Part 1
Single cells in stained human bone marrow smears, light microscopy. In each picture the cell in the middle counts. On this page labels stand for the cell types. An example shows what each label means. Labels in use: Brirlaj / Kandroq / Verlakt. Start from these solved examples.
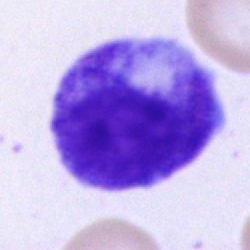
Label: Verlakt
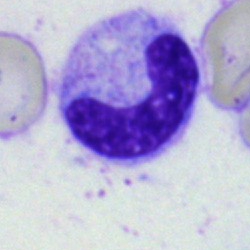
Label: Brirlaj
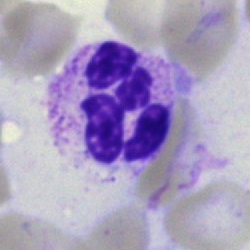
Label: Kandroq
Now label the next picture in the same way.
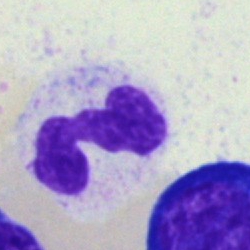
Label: Kandroq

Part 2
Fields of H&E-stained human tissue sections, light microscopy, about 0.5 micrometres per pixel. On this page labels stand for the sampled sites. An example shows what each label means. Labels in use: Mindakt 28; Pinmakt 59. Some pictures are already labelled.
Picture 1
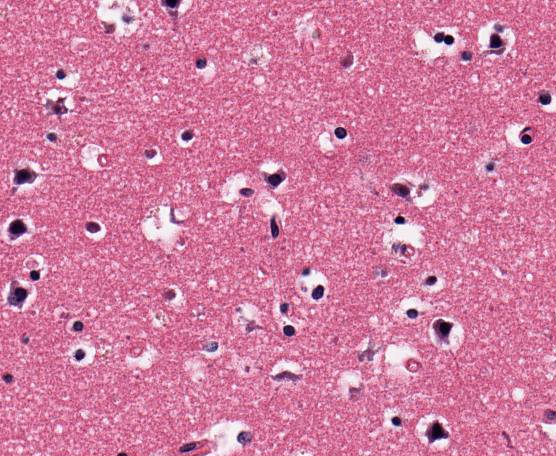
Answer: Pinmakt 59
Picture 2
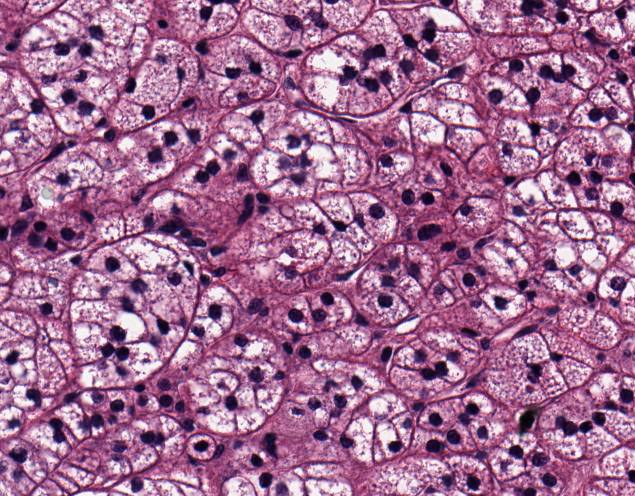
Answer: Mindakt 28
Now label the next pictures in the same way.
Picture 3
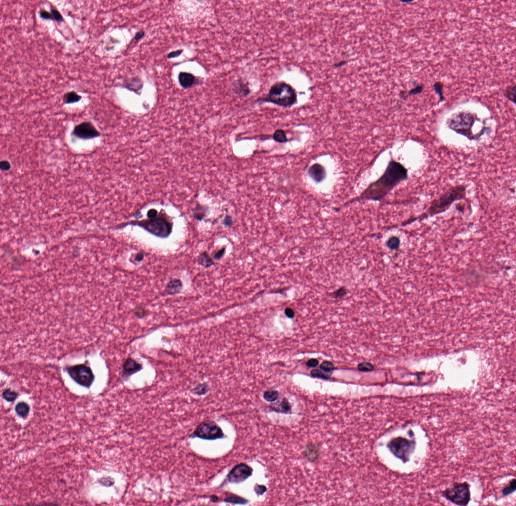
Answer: Pinmakt 59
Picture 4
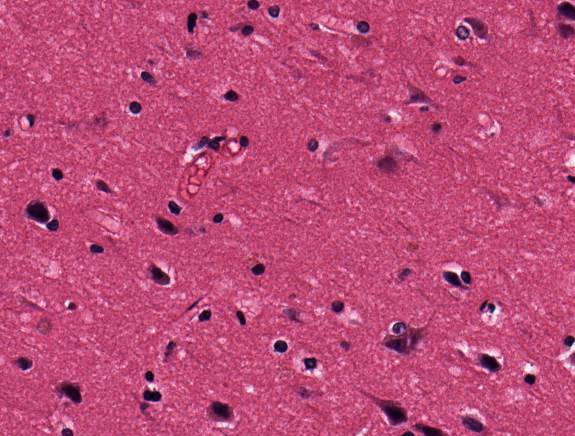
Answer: Pinmakt 59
